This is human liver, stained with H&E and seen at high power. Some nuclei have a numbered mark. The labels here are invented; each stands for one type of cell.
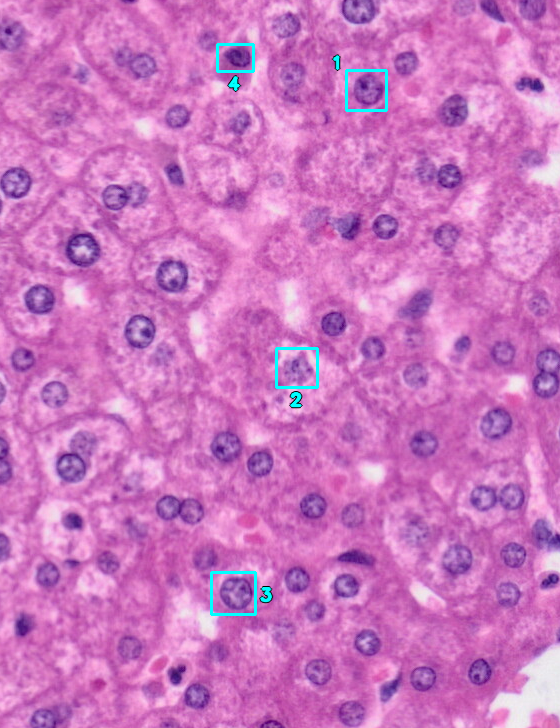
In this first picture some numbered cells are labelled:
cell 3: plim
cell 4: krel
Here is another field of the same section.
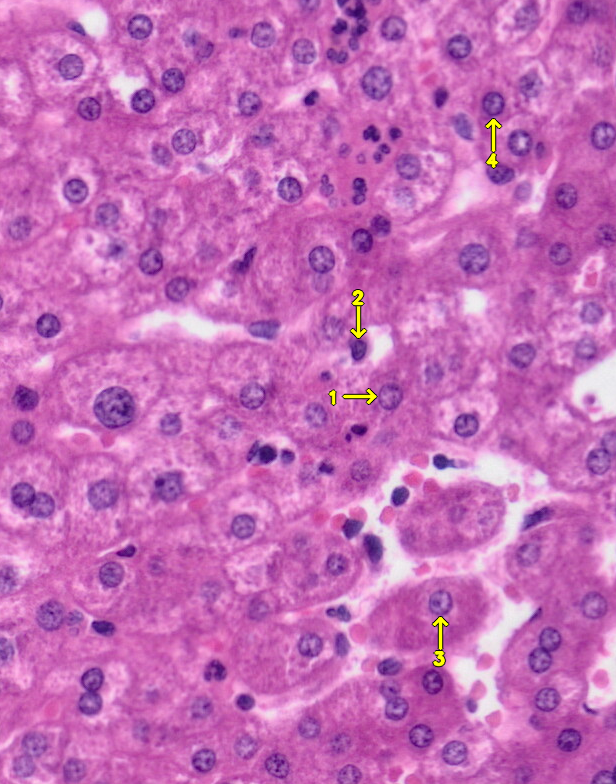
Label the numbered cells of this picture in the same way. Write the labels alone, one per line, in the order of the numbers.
plim
krel
plim
plim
